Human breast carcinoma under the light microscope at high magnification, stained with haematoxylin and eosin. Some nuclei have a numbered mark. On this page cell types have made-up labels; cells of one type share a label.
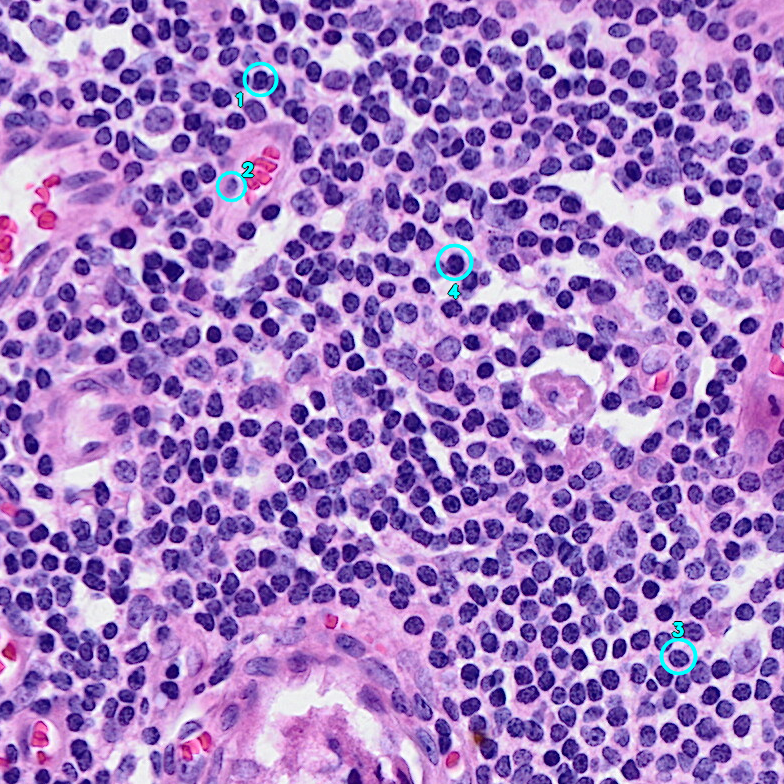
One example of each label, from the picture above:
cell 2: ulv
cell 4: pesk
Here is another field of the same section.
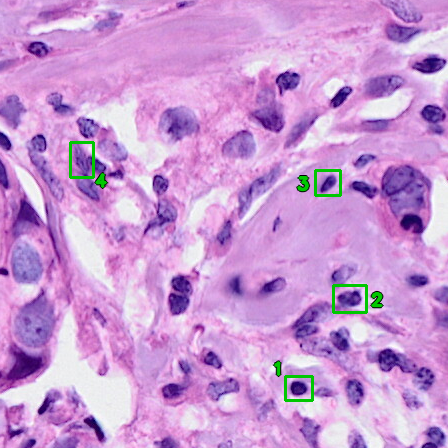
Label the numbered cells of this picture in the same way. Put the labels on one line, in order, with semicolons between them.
pesk; pesk; pesk; ulv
